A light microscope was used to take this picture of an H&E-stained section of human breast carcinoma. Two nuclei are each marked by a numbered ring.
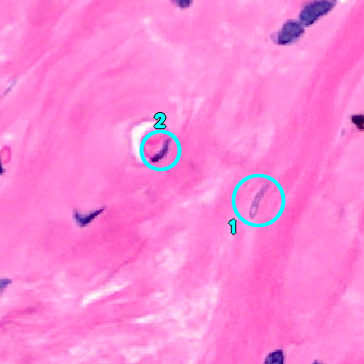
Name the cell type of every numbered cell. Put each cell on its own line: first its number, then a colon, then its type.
1: fibroblast
2: endothelial cell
